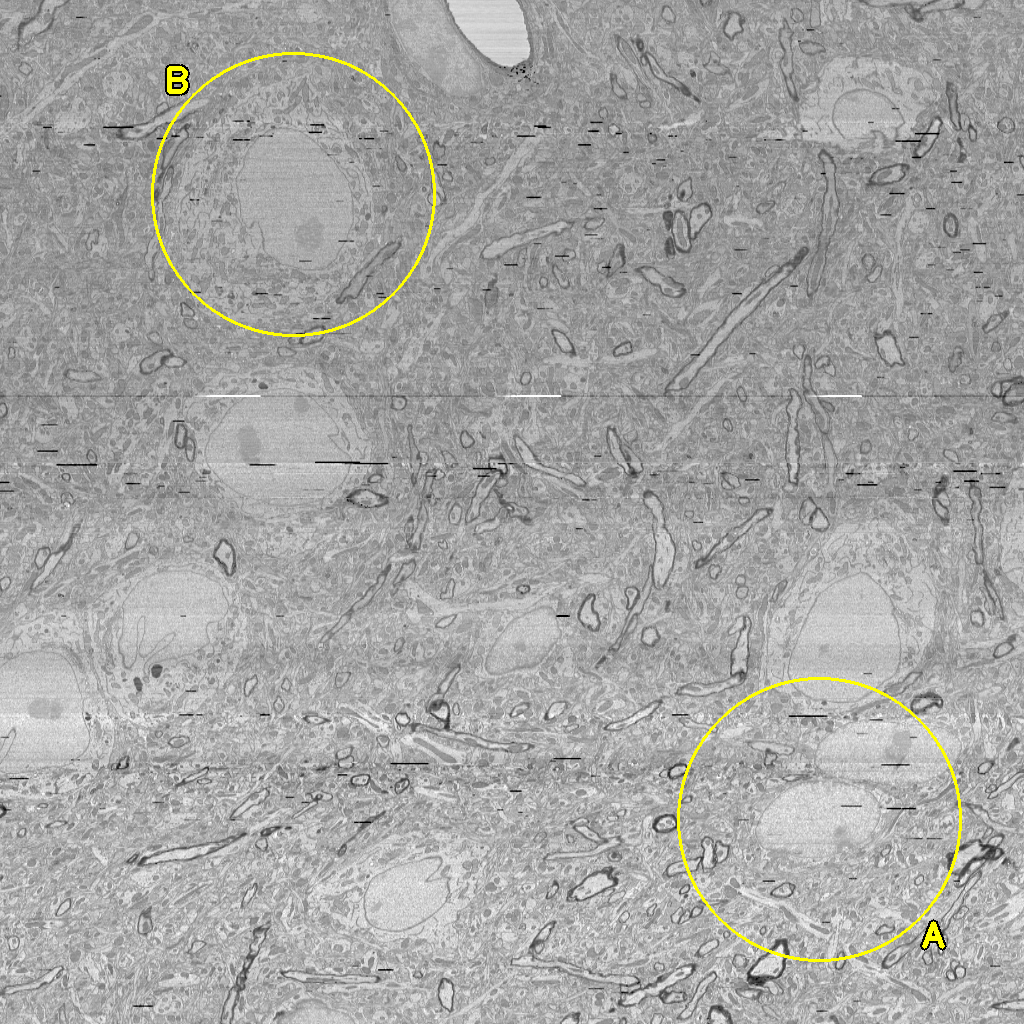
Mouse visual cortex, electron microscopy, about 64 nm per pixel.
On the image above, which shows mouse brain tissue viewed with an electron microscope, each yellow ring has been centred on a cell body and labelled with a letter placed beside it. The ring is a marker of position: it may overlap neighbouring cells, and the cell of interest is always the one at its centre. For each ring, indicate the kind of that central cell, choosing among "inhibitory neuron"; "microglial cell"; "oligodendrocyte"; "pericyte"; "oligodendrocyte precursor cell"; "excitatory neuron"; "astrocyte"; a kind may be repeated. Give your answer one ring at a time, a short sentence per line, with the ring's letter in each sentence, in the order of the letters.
Ring A shows an astrocyte at its centre.
Ring B shows an inhibitory neuron at its centre.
